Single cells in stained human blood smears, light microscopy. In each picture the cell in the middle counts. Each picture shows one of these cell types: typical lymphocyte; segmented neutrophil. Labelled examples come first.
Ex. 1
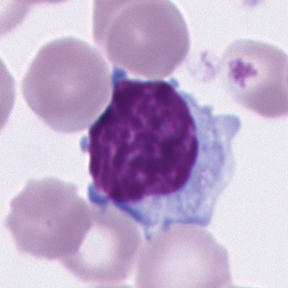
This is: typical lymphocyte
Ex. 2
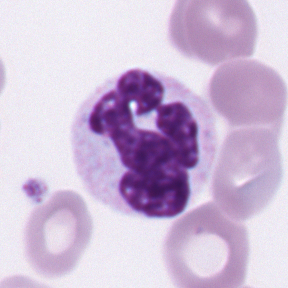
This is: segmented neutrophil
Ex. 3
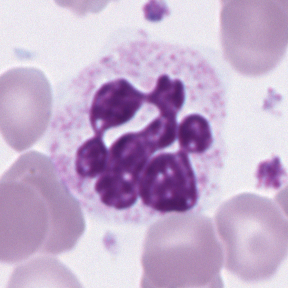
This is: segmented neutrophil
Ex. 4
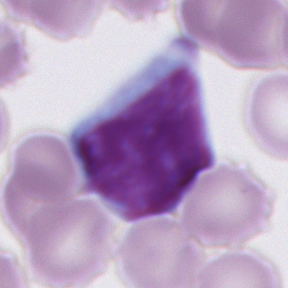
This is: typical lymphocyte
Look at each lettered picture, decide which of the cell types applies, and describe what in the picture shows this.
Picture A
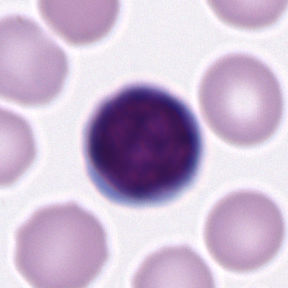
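typical lymphocyte. Evidence: The nucleus fills almost the whole cell.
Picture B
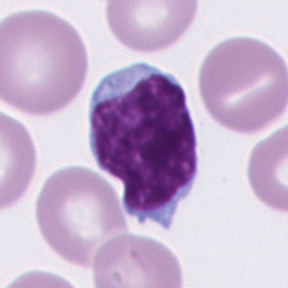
typical lymphocyte. Evidence: The cytoplasm is a scant pale blue rim, widest at the upper left.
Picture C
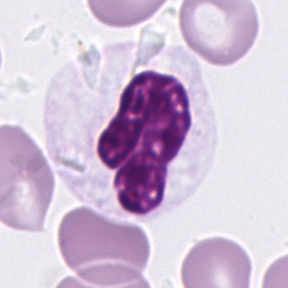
segmented neutrophil. Evidence: The cytoplasm is abundant, covering much more area than the nucleus.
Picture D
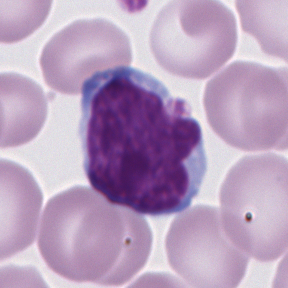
typical lymphocyte. Evidence: The cytoplasm forms only a narrow pale blue rim around the nucleus.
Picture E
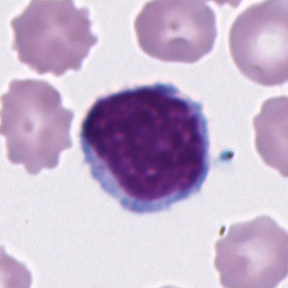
typical lymphocyte. Evidence: The cytoplasm is a narrow rim of pale blue.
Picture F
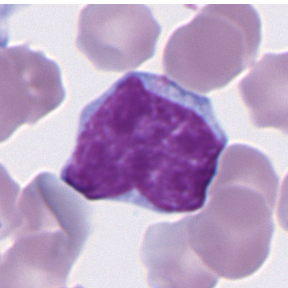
typical lymphocyte. Evidence: The nucleus fills almost the whole cell.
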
